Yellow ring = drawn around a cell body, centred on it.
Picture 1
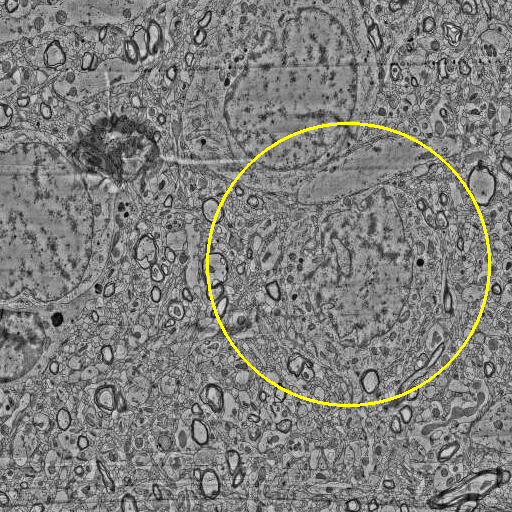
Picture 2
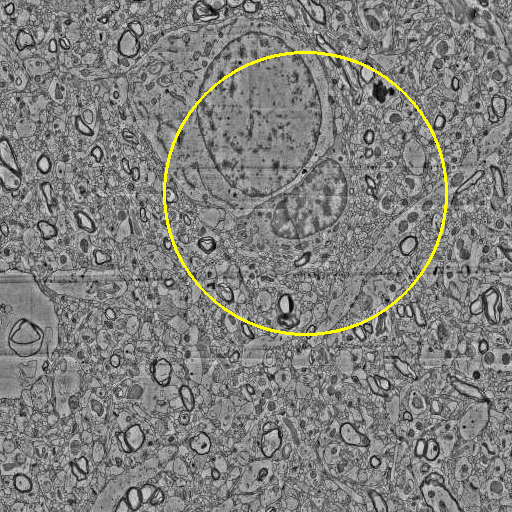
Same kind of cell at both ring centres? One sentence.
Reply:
No, they are two kinds of cell.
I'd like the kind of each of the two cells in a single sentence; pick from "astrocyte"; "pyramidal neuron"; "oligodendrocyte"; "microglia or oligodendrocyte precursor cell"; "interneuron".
The first ring marks an interneuron, and the second ring marks an oligodendrocyte.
